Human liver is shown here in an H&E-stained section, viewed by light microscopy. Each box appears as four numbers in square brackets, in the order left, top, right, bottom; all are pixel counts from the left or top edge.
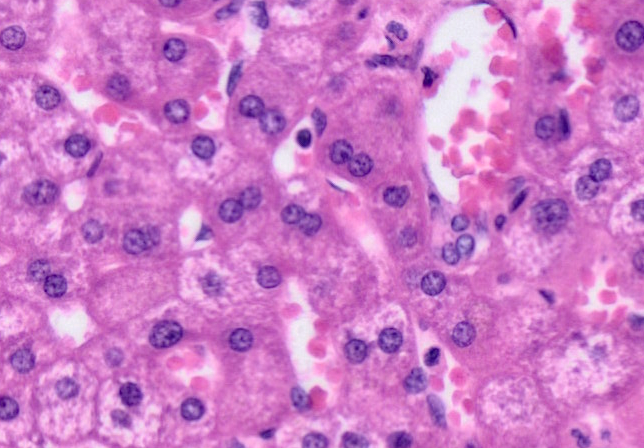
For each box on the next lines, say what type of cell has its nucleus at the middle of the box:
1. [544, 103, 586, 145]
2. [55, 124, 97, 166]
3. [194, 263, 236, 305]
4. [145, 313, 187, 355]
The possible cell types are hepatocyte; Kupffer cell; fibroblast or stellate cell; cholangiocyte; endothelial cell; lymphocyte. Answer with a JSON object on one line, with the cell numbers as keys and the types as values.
{"1": "fibroblast or stellate cell", "2": "hepatocyte", "3": "hepatocyte", "4": "hepatocyte"}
